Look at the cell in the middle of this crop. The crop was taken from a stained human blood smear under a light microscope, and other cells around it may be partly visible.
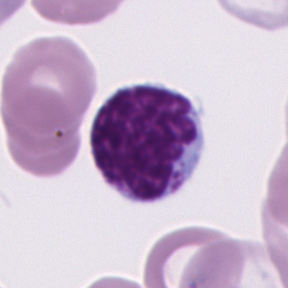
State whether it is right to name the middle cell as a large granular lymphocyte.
yes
